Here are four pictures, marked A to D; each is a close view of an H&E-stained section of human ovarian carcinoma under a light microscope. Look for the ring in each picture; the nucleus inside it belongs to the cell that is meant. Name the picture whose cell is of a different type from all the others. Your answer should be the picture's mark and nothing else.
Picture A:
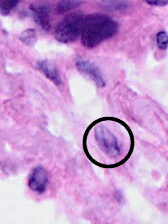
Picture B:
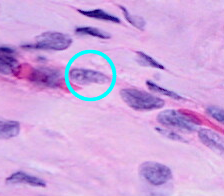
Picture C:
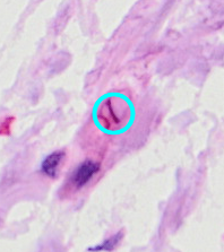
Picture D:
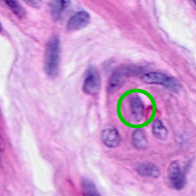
A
